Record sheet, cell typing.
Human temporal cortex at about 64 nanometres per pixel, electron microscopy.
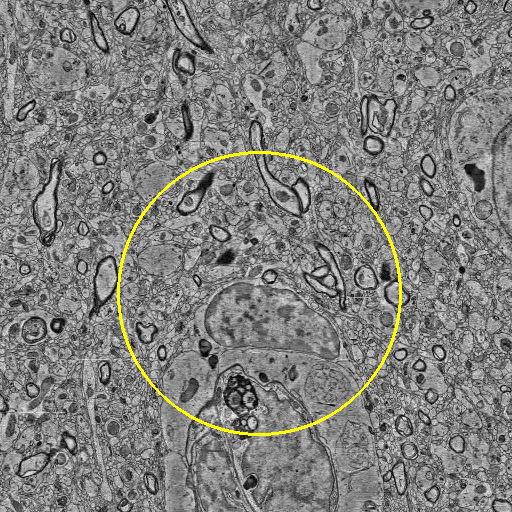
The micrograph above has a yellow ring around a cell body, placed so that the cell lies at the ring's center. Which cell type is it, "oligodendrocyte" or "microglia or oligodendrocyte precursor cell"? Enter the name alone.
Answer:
microglia or oligodendrocyte precursor cell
